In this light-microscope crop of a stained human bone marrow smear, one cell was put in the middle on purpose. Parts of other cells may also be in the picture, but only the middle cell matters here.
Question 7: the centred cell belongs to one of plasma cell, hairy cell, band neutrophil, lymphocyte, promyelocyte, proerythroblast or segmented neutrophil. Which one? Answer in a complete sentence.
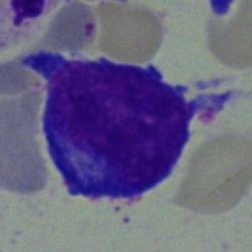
Looking at the middle of the crop, the cell there is a proerythroblast.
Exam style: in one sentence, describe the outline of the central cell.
The edge is uneven, and this unevenness takes the form of ragged stretches or projections.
